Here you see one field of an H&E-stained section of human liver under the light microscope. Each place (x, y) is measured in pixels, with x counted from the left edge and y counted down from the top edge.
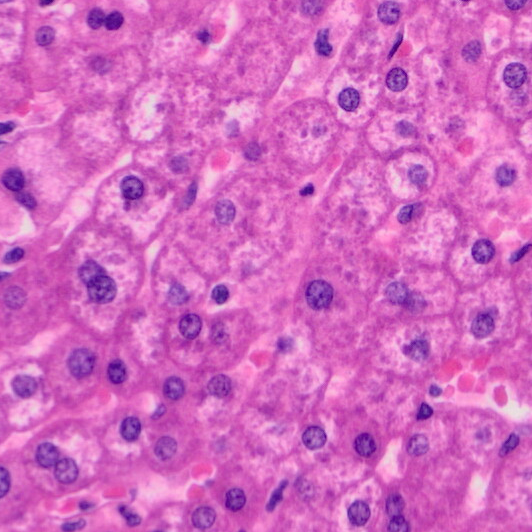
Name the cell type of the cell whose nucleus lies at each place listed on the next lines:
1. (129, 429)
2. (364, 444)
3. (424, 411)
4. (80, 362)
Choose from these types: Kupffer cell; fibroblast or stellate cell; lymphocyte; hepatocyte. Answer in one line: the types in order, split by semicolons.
hepatocyte; hepatocyte; fibroblast or stellate cell; hepatocyte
